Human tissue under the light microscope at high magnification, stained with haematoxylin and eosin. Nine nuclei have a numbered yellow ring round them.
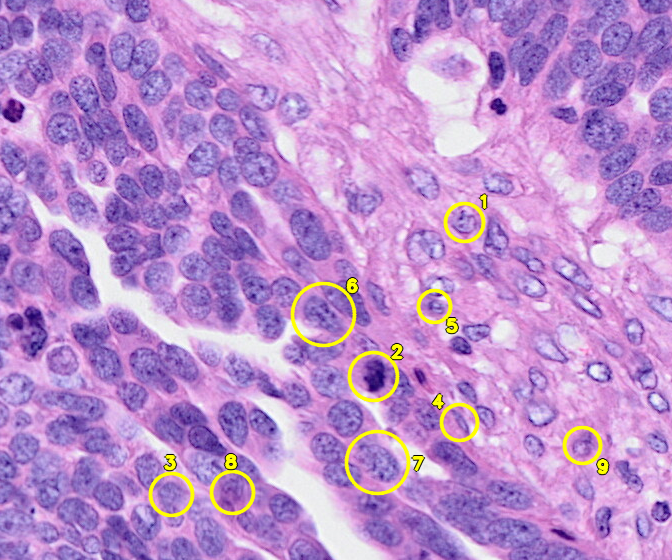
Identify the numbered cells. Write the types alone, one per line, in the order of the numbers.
fibroblast
carcinoma cell
carcinoma cell
fibroblast
fibroblast
carcinoma cell
carcinoma cell
carcinoma cell
fibroblast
